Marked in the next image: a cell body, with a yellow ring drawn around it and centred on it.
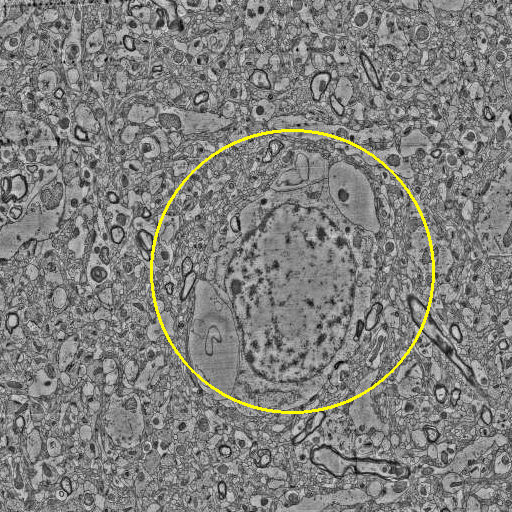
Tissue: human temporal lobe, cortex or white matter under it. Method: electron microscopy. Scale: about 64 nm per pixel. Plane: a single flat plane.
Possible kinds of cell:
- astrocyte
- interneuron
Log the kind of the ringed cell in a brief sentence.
The ringed cell body is that of an interneuron.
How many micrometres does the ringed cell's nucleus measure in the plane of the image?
In this plane, the nucleus of the cell at the centre of the ring measures about 11 by 8 micrometres.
